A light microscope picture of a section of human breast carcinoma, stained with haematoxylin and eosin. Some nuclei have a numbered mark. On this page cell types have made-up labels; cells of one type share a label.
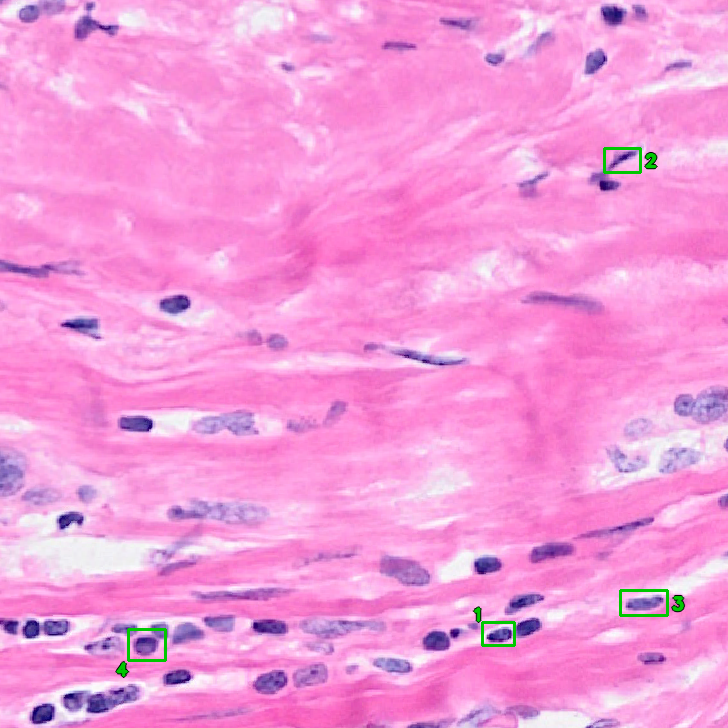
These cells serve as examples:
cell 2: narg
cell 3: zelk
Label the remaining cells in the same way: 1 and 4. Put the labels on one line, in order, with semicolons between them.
zelk; zelk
